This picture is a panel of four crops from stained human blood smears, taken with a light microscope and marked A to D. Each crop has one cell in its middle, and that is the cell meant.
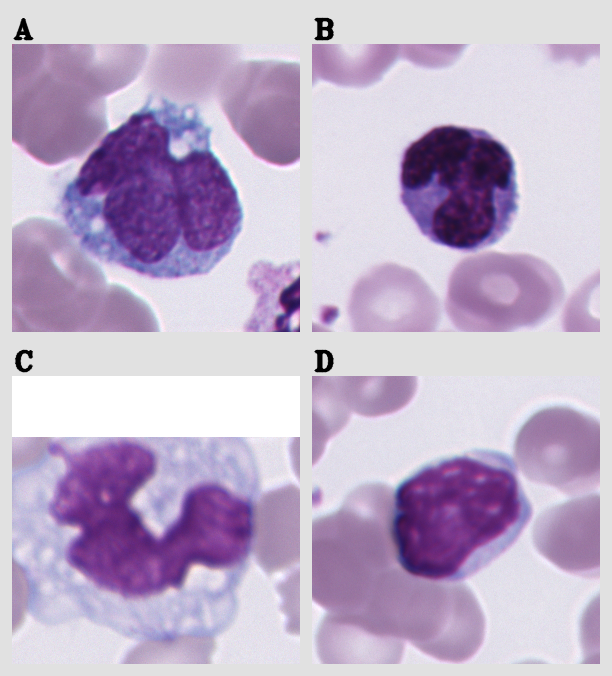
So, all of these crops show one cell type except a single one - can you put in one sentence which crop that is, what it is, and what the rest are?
All of the other crops show monocytes, while crop D shows a large granular lymphocyte instead.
